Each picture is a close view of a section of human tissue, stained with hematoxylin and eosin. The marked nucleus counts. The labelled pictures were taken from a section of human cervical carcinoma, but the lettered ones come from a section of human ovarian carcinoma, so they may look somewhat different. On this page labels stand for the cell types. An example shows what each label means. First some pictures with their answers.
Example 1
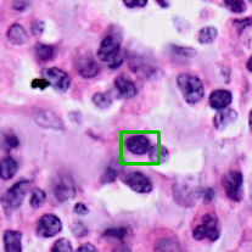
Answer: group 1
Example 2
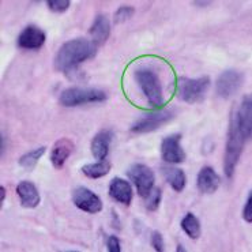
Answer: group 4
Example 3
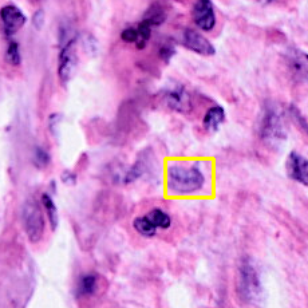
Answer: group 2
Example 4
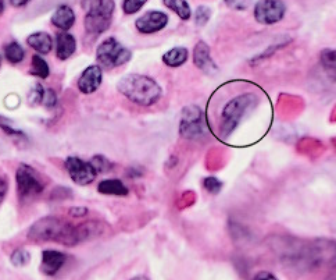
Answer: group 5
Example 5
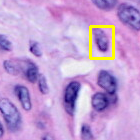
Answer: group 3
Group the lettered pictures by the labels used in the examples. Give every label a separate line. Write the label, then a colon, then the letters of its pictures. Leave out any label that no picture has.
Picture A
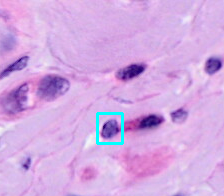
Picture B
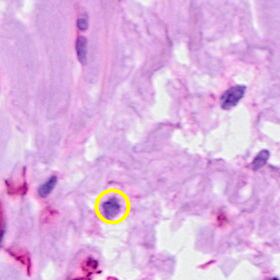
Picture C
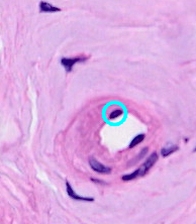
group 1: A
group 2: B
group 5: C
